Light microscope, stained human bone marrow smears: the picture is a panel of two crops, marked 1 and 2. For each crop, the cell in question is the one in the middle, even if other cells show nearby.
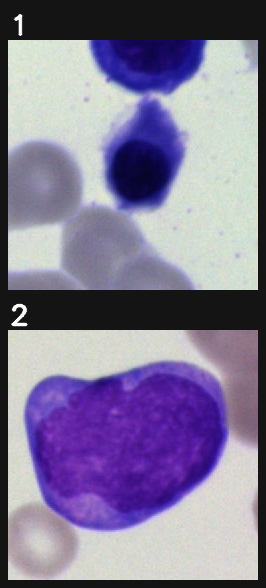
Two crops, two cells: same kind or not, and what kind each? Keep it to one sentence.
No, crop 1 shows an erythroblast, whereas in crop 2 the cell is a blast.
